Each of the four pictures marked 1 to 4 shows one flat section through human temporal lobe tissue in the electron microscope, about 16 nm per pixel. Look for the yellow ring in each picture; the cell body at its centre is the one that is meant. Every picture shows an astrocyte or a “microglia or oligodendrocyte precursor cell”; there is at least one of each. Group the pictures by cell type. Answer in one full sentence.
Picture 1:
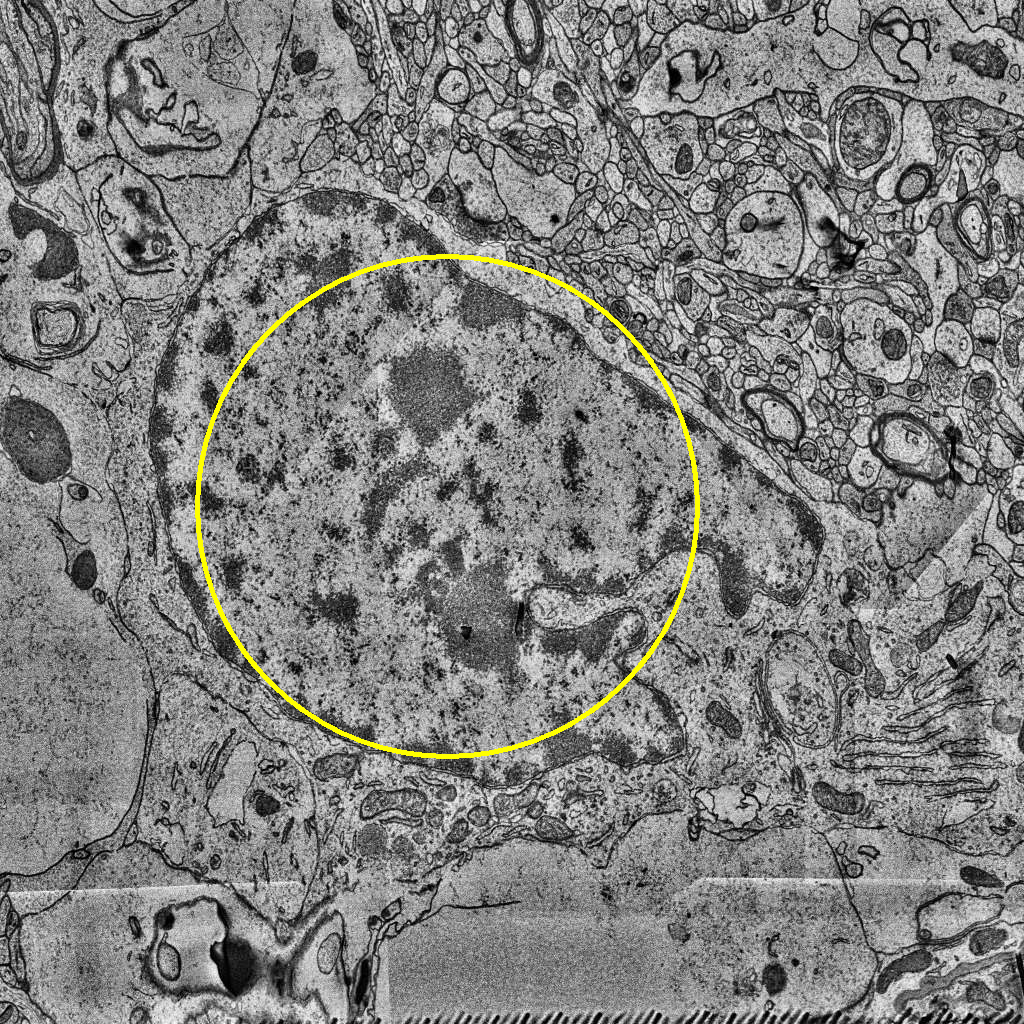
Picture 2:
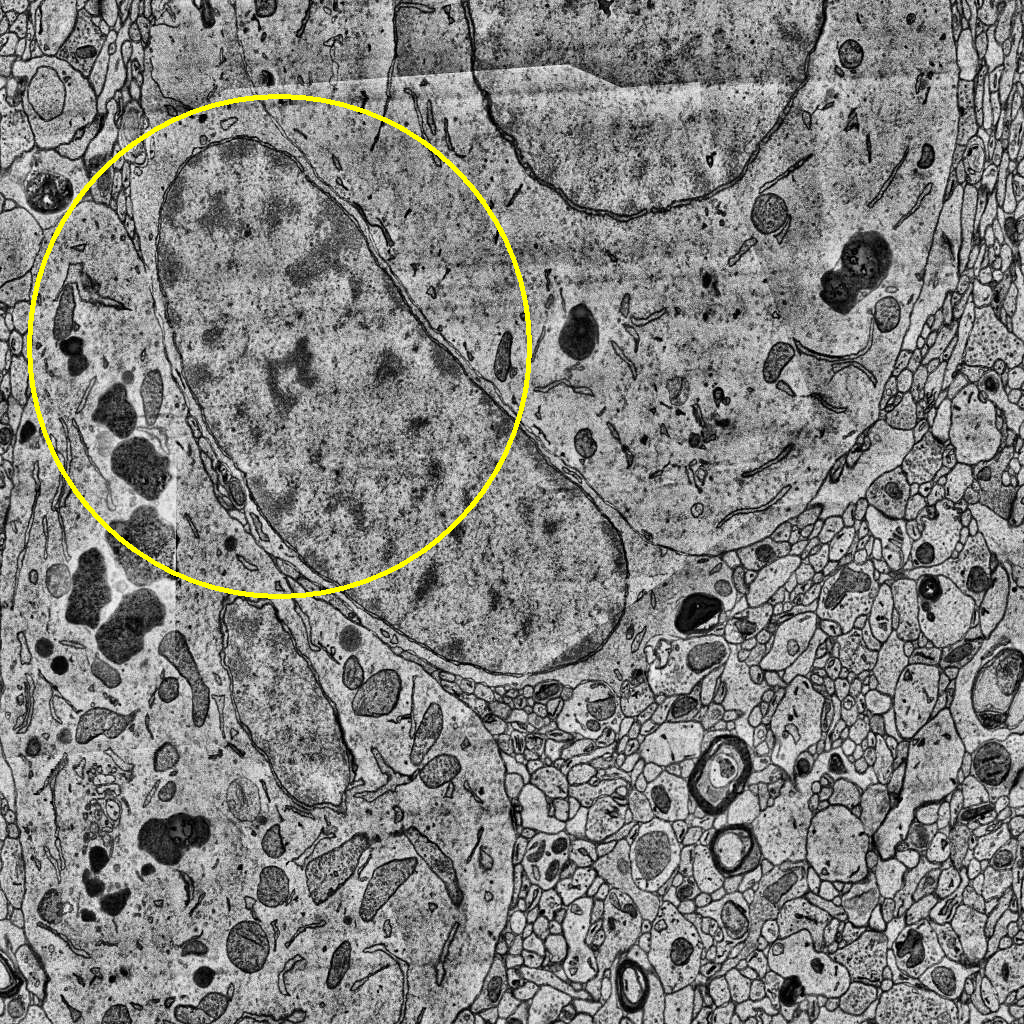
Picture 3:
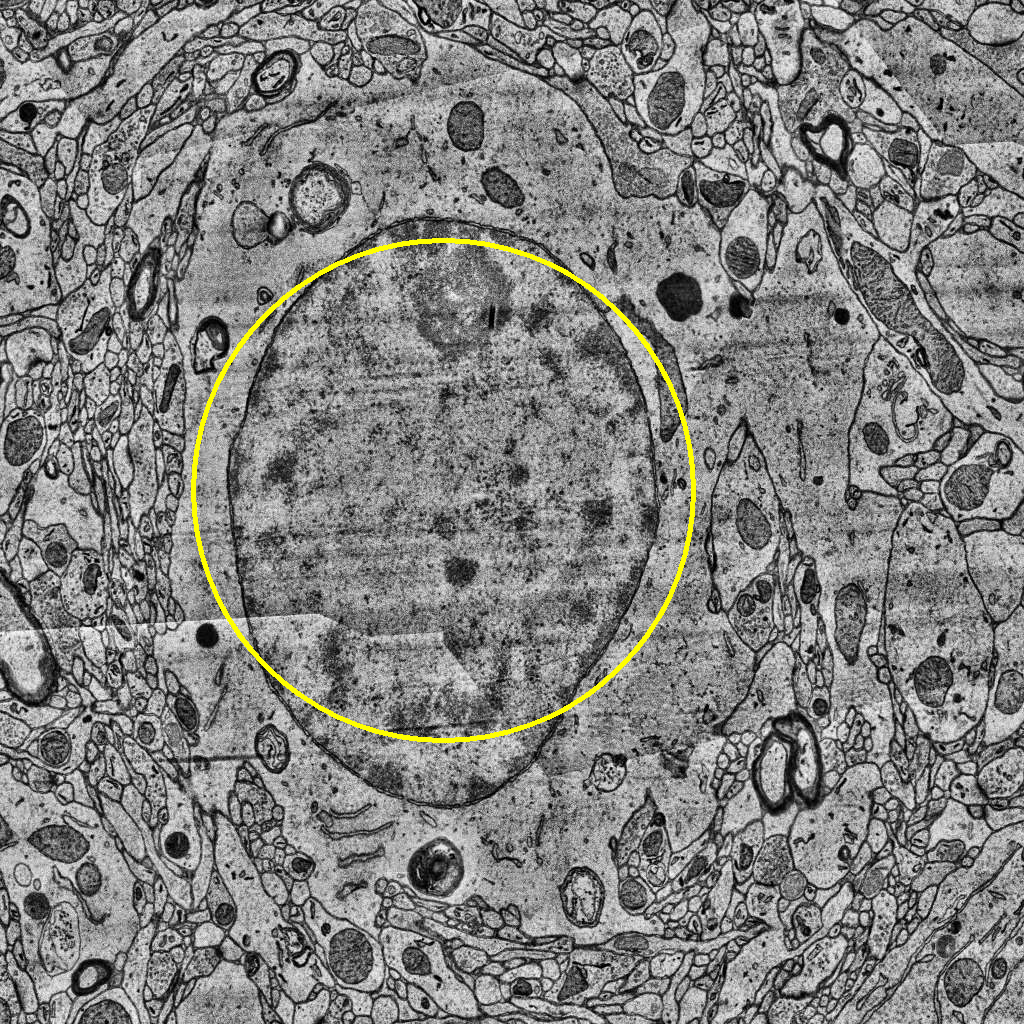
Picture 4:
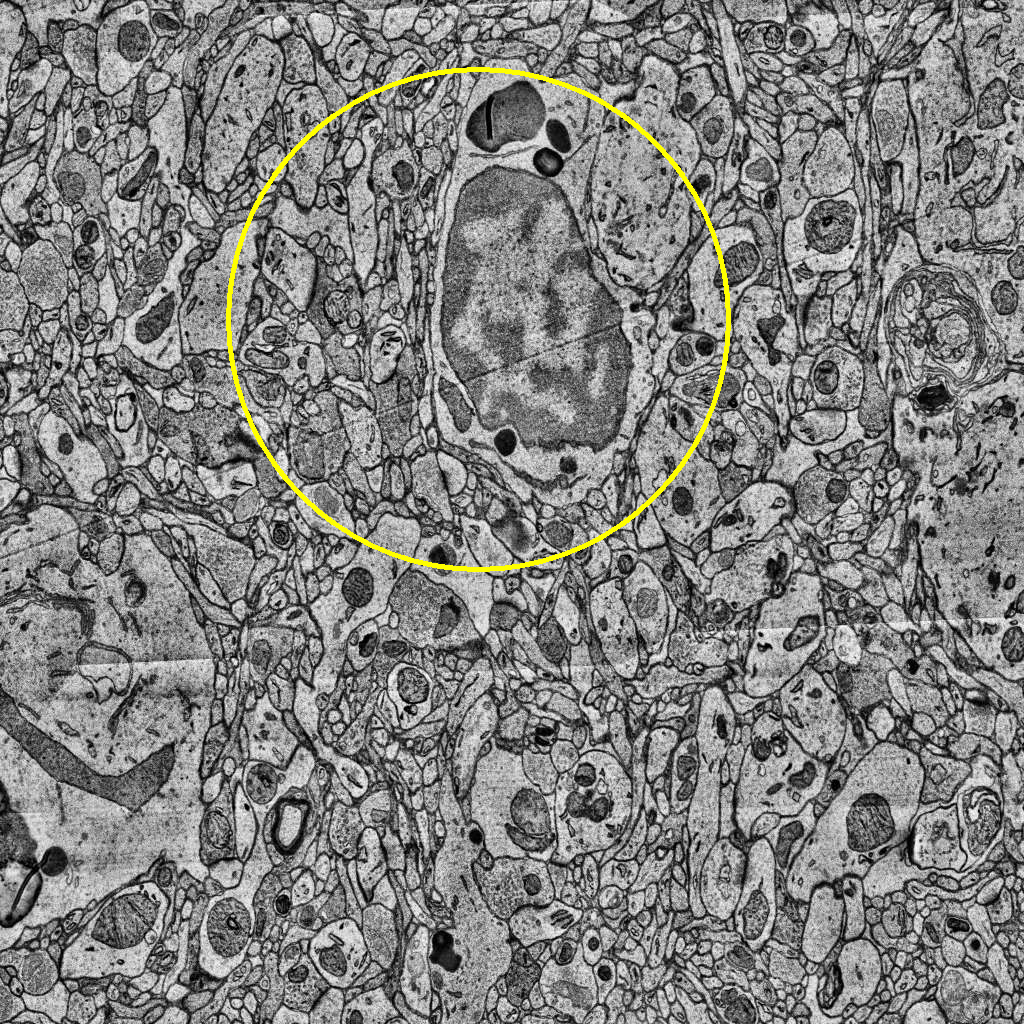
Picture 3 shows an astrocyte, and pictures 1, 2 and 4 show “microglia or oligodendrocyte precursor cells”.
